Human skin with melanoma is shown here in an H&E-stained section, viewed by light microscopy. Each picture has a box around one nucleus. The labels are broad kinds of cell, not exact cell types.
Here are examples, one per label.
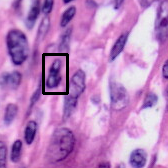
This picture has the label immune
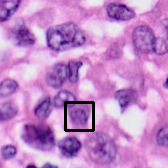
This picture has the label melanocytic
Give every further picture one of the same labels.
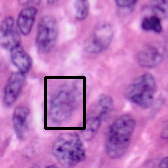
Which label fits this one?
melanocytic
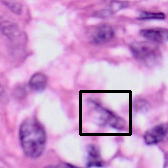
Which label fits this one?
melanocytic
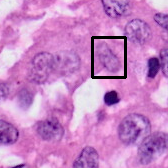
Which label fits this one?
melanocytic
